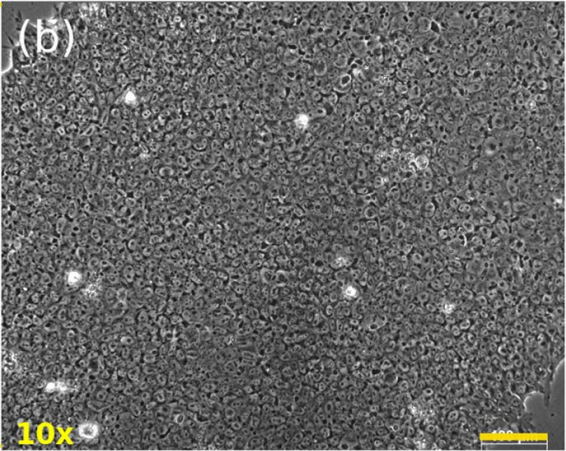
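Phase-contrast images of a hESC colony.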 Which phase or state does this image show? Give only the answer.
Densely packed.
